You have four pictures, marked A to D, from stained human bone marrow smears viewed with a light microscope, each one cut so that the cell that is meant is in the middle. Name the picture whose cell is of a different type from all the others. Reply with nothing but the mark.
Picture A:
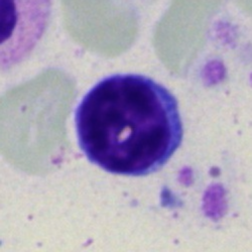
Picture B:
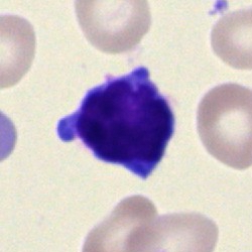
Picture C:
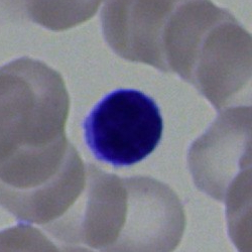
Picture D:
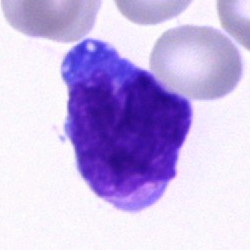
D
